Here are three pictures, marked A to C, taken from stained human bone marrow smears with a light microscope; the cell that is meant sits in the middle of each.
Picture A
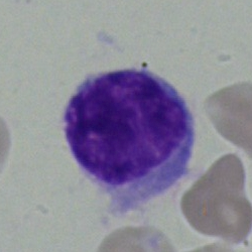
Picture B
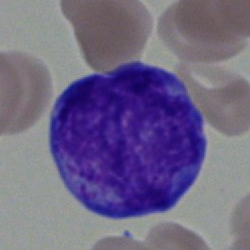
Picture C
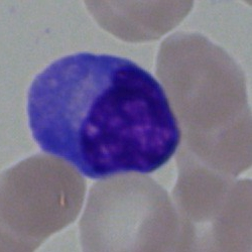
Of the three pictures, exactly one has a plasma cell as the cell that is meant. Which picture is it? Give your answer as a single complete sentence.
Picture C is the one that shows the plasma cell.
